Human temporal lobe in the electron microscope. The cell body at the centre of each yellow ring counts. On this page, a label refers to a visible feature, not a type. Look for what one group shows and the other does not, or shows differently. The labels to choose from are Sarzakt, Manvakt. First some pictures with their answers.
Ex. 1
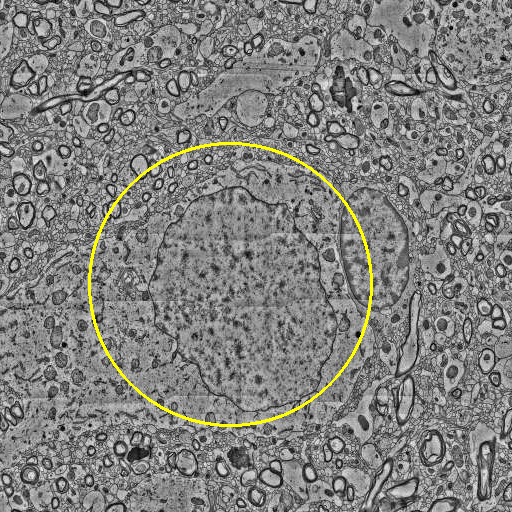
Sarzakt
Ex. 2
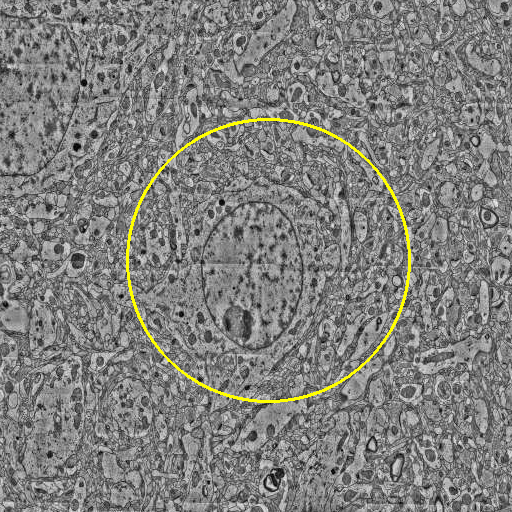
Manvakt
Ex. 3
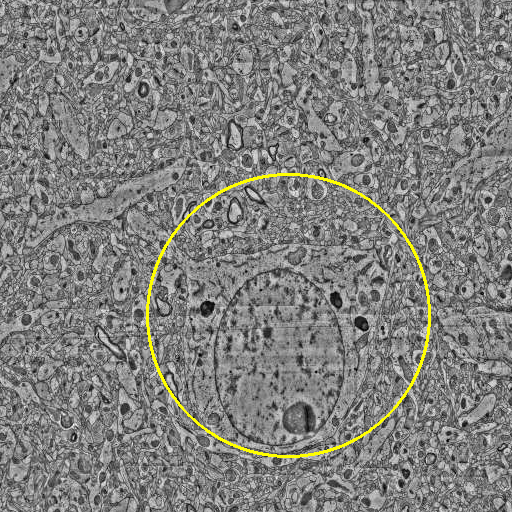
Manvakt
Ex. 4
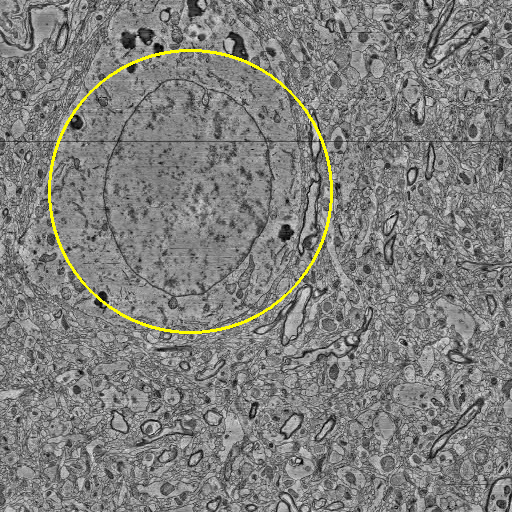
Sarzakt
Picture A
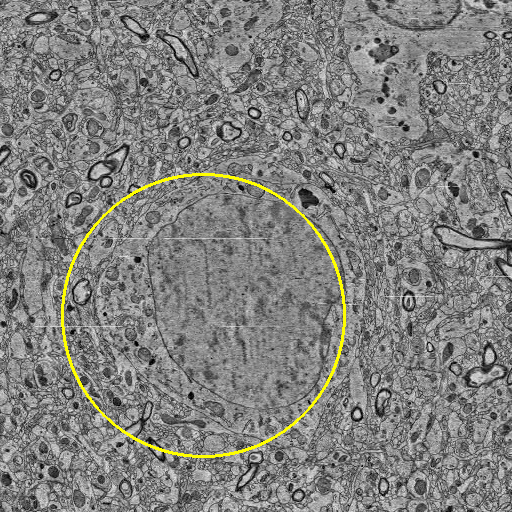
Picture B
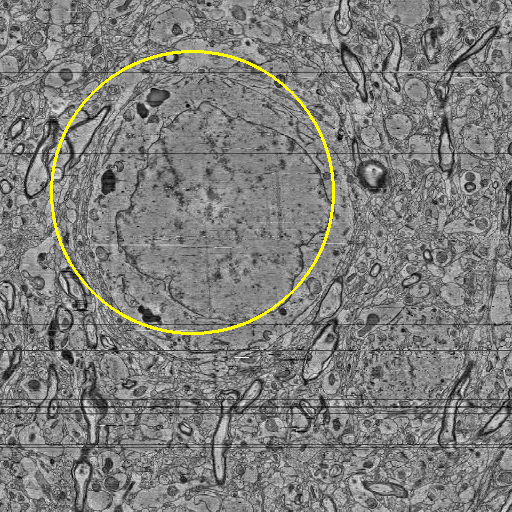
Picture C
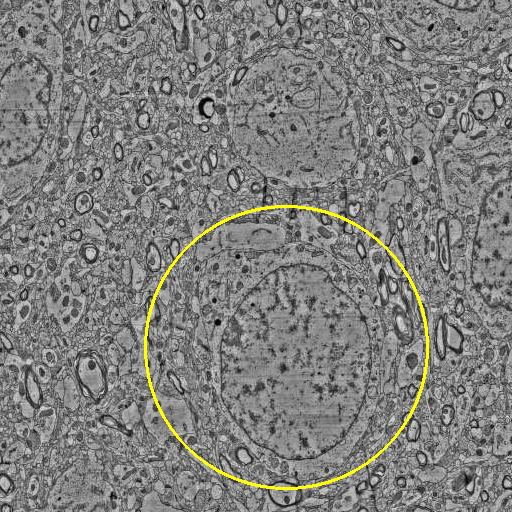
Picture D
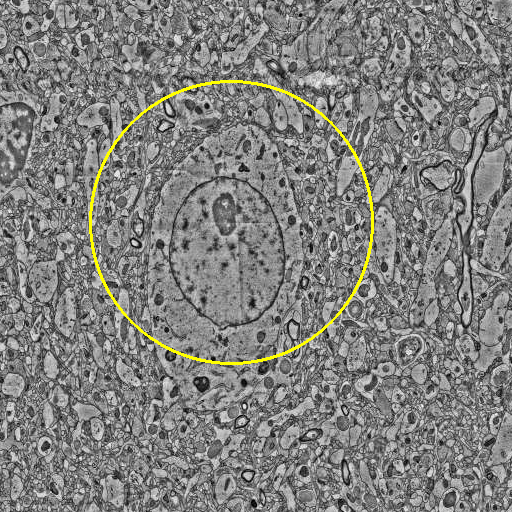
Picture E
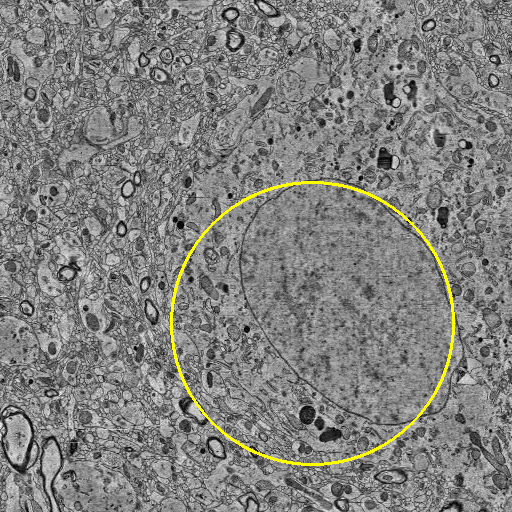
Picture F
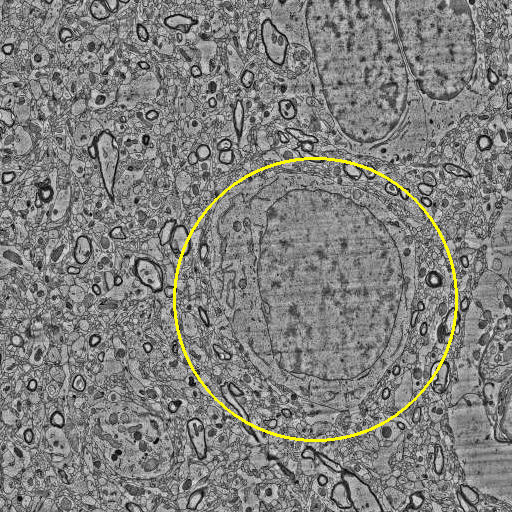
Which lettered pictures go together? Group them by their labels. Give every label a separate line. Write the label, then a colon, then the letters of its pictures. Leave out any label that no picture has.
Sarzakt: A, B, C, E, F
Manvakt: D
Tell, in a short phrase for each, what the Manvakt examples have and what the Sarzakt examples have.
Manvakt, nucleolus seen; Sarzakt, no nucleolus seen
